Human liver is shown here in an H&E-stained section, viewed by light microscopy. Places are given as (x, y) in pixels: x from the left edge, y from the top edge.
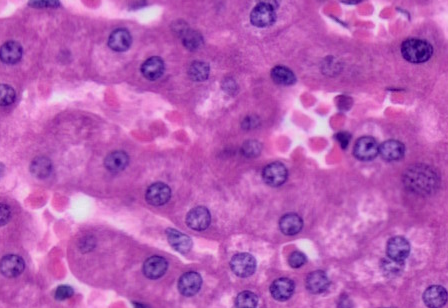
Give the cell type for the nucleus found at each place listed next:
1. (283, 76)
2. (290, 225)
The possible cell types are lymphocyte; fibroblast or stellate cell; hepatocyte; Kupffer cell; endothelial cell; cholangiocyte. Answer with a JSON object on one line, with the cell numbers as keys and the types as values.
{"1": "fibroblast or stellate cell", "2": "hepatocyte"}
